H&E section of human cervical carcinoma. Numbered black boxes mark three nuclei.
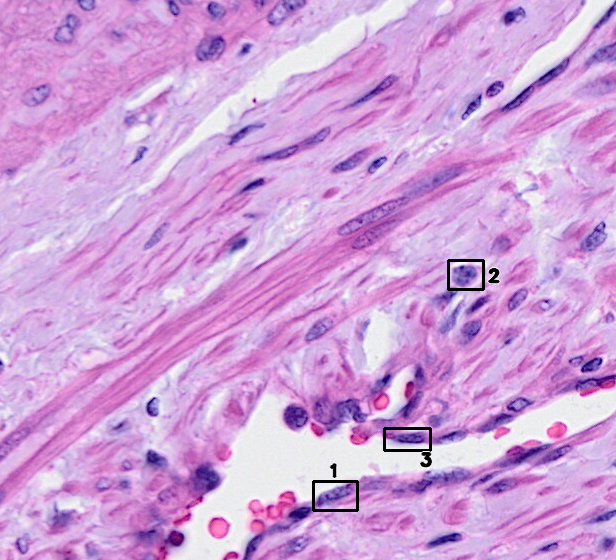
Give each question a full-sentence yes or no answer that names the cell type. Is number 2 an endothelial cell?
No, the nucleus numbered 2 belongs to a lymphocyte, not an endothelial cell.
